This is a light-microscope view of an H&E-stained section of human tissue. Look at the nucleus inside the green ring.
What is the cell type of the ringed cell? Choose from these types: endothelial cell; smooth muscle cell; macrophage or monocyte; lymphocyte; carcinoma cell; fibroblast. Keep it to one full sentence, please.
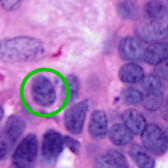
The identity of the ringed cell is that of a carcinoma cell.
